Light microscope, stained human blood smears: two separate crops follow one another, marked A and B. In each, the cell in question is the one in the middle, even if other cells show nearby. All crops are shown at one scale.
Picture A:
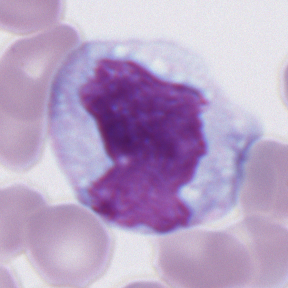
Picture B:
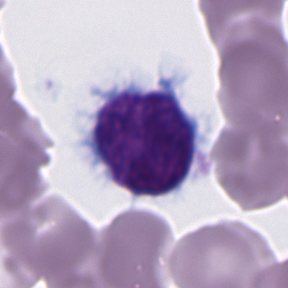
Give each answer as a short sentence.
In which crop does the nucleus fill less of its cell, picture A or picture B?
Of the two, the nucleus in picture A leaves more room for cytoplasm.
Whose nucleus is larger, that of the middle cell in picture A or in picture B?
Larger is the nucleus in picture A, at roughly 2 times the area of the other.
